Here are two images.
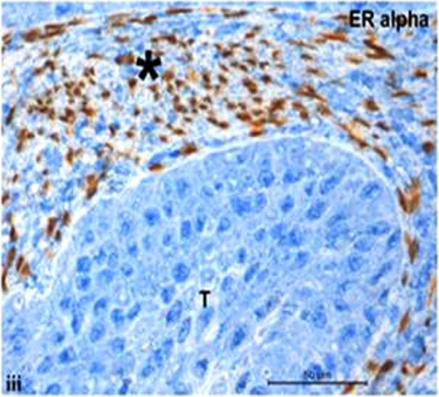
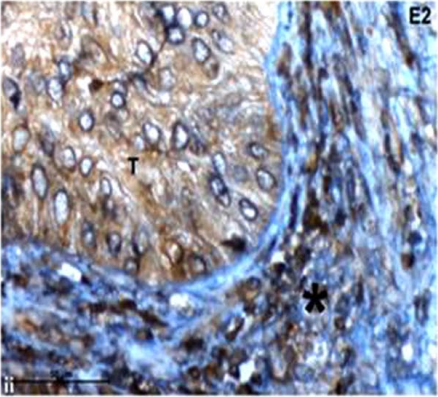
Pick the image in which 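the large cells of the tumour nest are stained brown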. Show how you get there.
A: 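First image: the cells of the rounded nest are pale blue, only the surrounding spindle-shaped nuclei are brown. Second image: the large cells of the nest have light brown cytoplasm around blue nuclei. That points to this answer: the second image.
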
